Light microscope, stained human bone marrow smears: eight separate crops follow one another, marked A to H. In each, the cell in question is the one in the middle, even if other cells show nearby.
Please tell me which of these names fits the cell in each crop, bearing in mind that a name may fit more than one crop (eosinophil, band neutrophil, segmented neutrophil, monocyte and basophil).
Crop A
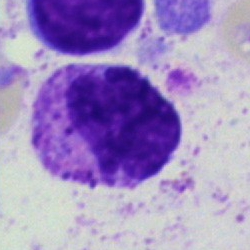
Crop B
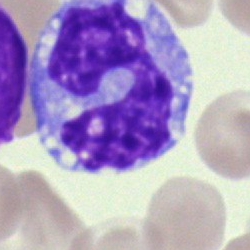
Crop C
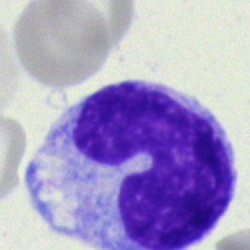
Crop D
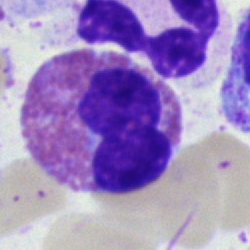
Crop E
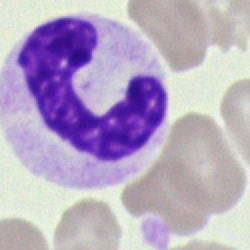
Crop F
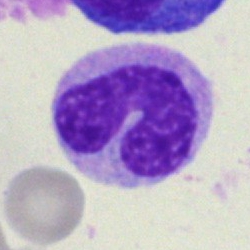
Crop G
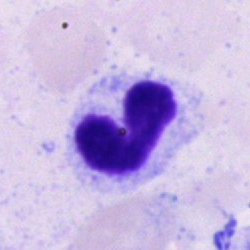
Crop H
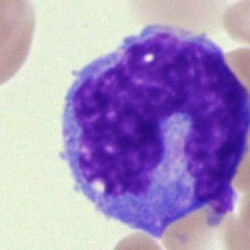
A: basophil
B: monocyte
C: monocyte
D: eosinophil
E: band neutrophil
F: band neutrophil
G: band neutrophil
H: monocyte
